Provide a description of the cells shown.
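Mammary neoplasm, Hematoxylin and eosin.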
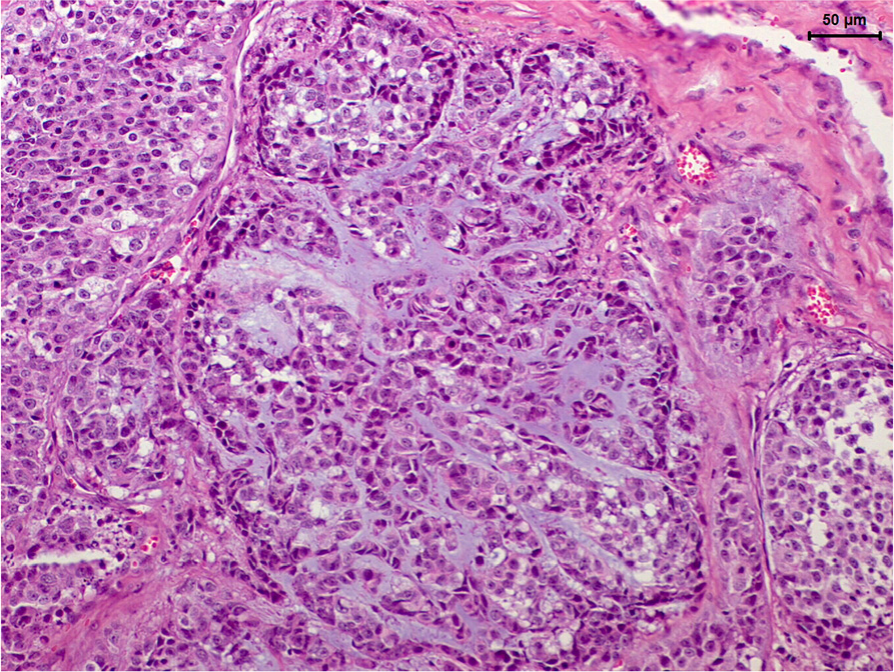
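In the central nest the cells form branching cords and small clusters that float in pale blue-violet, wispy extracellular mucus. The tumour cells have round to oval, dark, often hyperchromatic nuclei and a moderate amount of pinkish cytoplasm, and many contain clear, bubbly vacuoles. Along the edges of the nests the cells are more tightly packed with darker nuclei. In the pink fibrous stroma at the upper right there are small blood vessels filled with red blood cells.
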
